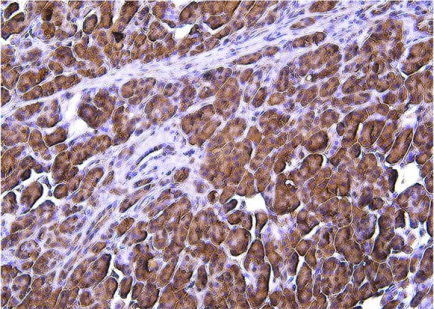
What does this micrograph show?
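This is normal exocrine pancreas made up of closely packed acini. Thin bands of pale connective tissue with sparse blue nuclei divide the acini into lobules, and a few small spaces lie among them.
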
